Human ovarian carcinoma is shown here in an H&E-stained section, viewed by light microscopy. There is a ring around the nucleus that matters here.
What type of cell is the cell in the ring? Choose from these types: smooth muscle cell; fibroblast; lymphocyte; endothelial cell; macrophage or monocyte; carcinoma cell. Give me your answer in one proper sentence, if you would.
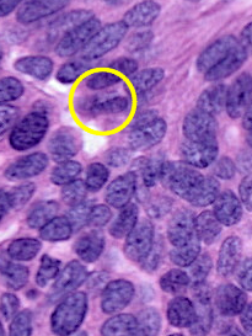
Cell type answer for this item: the cell in the ring is a carcinoma cell.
